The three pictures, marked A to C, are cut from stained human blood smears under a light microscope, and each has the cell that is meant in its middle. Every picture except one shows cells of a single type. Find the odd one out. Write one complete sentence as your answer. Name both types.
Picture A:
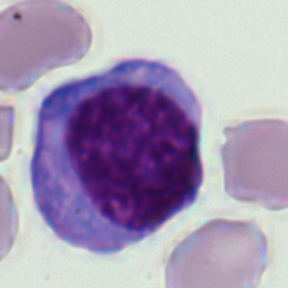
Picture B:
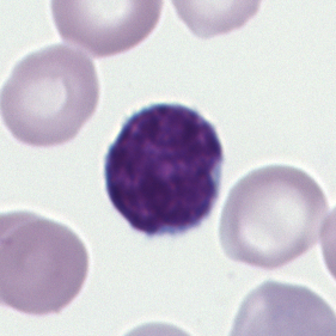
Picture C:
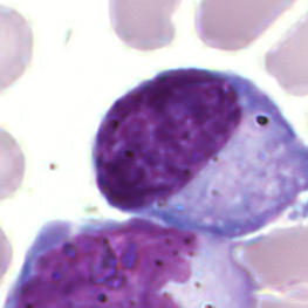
The different one is picture B; it shows a typical lymphocyte, whereas all the others show plasma cells.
